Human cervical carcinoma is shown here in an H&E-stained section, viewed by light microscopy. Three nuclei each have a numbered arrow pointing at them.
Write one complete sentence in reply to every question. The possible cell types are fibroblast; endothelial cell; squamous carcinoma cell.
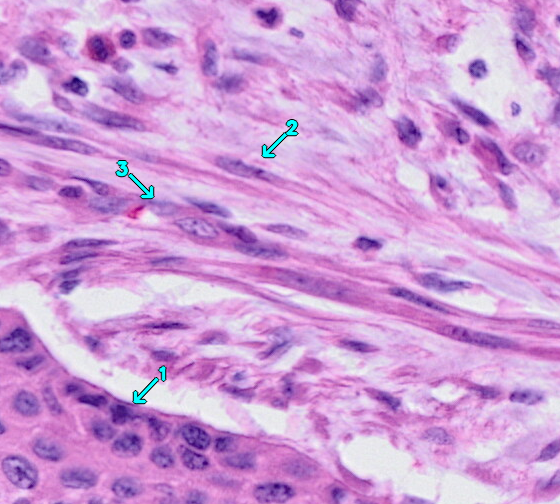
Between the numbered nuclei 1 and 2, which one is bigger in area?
Of the two, number 2 is bigger and takes up about 1.5 times the area of number 1.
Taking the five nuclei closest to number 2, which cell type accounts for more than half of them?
Of the five nuclei nearest to number 2, most belong to endothelial cells.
